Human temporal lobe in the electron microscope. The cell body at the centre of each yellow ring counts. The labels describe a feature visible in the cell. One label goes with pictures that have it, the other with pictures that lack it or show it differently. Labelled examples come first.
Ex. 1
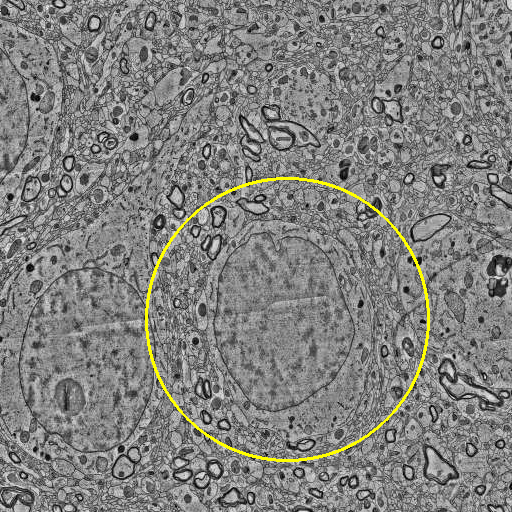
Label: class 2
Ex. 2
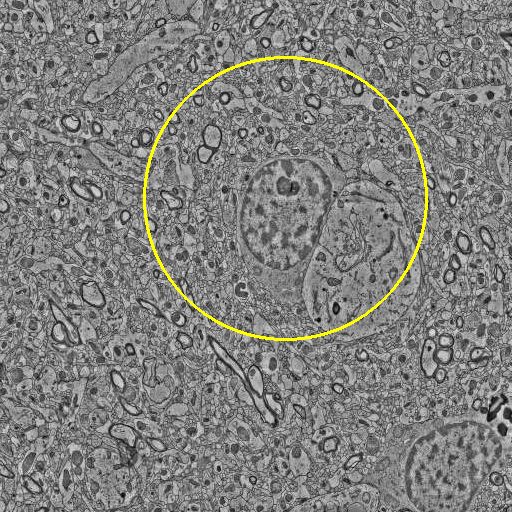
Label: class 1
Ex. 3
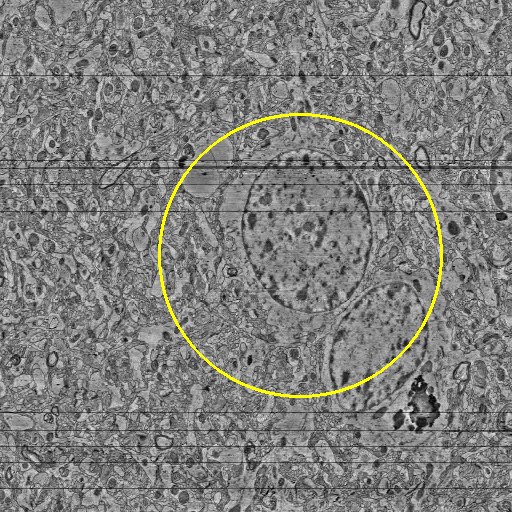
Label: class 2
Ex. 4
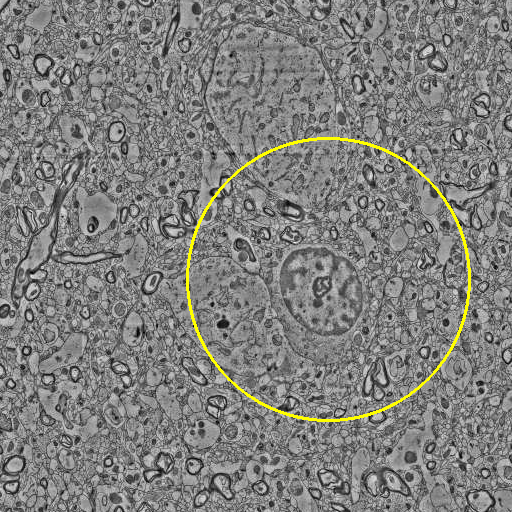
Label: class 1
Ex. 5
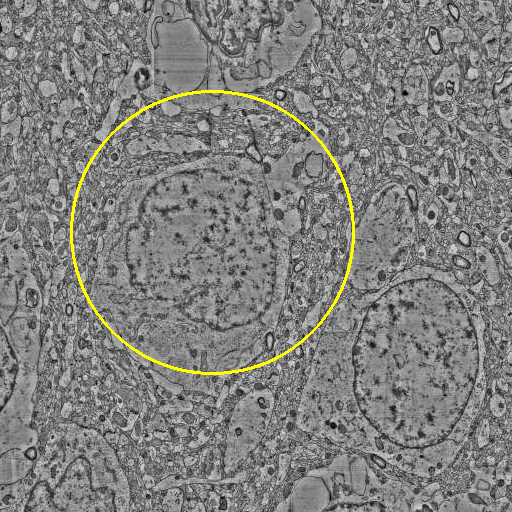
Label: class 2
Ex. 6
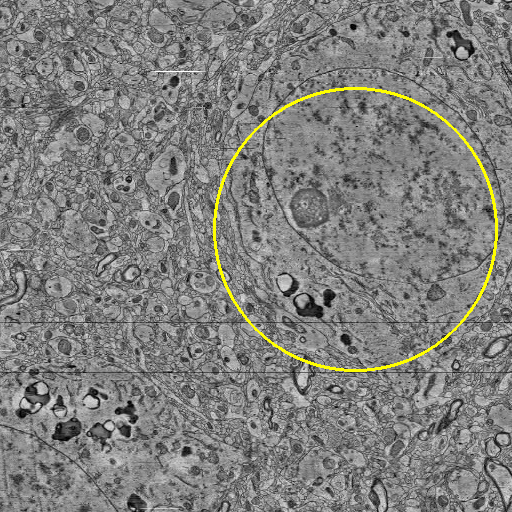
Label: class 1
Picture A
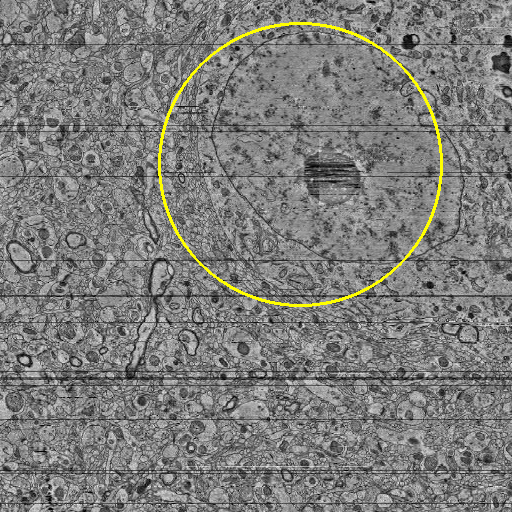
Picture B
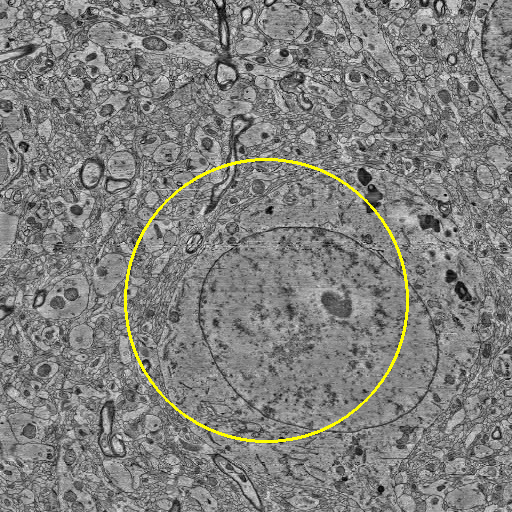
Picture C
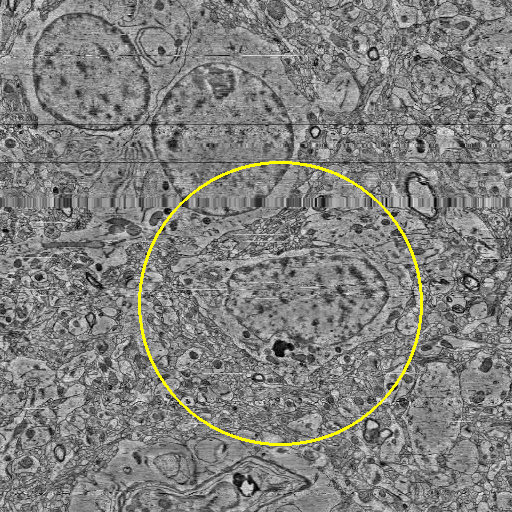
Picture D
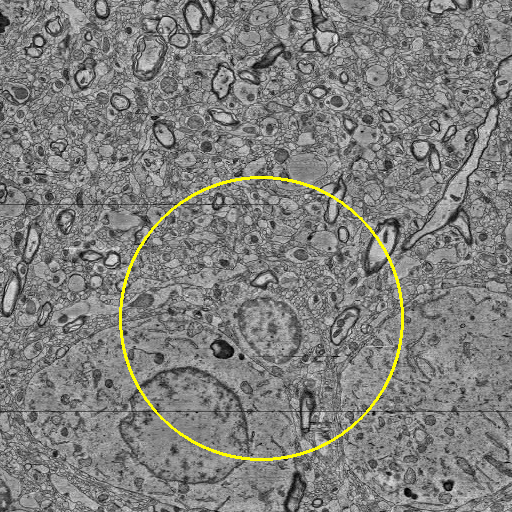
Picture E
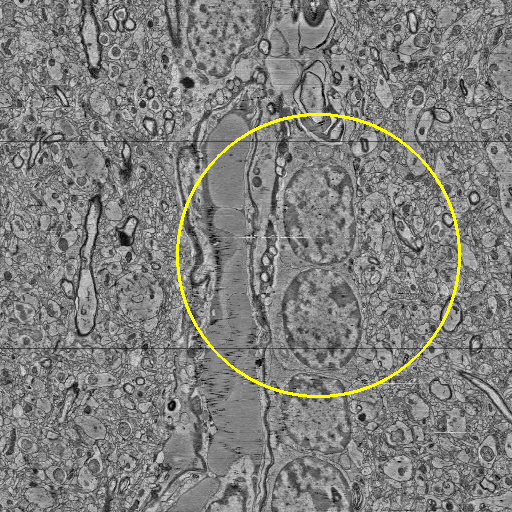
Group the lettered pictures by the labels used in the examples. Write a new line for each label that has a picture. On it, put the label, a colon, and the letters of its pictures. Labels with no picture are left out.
class 2: C, D, E
class 1: A, B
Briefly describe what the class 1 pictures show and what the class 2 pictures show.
In class 1: nucleolus seen. In class 2: no nucleolus seen.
